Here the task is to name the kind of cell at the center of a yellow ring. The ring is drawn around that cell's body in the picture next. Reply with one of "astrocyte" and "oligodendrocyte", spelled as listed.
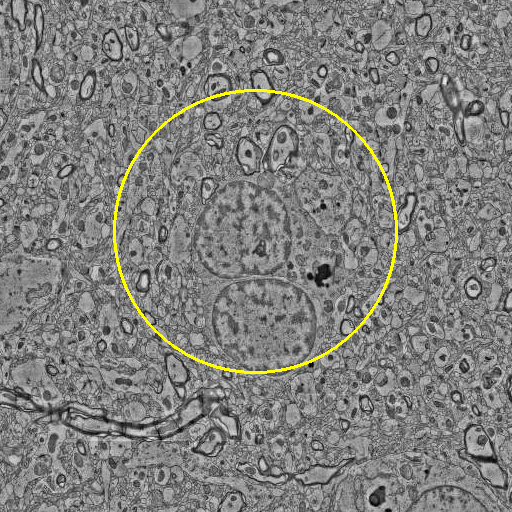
oligodendrocyte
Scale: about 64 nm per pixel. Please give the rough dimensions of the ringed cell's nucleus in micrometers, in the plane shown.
The nucleus of the ringed cell is approximately 6 micrometres across in this plane.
